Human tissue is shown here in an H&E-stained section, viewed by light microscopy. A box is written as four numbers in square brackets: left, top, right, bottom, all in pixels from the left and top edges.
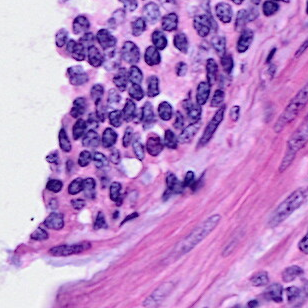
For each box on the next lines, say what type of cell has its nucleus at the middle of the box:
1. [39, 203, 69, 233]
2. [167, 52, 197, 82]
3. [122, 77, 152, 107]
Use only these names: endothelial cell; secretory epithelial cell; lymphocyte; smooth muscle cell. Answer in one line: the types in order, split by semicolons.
endothelial cell; lymphocyte; lymphocyte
